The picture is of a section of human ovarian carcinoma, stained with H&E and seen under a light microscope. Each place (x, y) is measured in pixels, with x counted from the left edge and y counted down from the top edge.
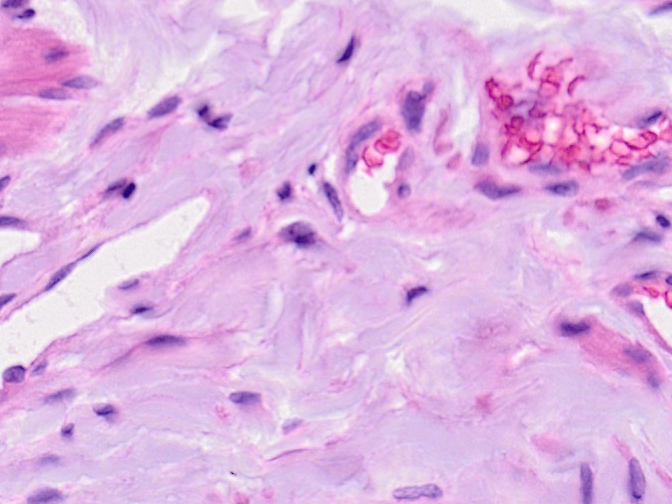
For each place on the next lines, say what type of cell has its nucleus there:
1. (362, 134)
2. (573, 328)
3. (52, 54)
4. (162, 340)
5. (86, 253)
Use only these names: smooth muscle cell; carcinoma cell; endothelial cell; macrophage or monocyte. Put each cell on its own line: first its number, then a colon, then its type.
1: endothelial cell
2: smooth muscle cell
3: smooth muscle cell
4: endothelial cell
5: endothelial cell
